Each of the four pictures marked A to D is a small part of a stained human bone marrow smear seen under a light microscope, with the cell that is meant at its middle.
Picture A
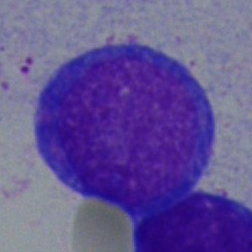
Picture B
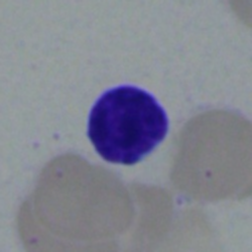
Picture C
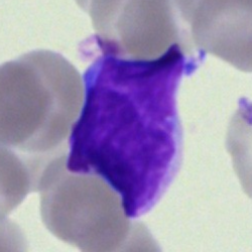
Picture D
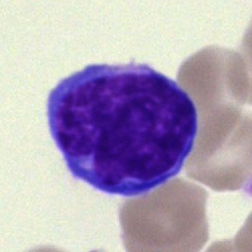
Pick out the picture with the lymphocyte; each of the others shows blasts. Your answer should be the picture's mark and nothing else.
B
